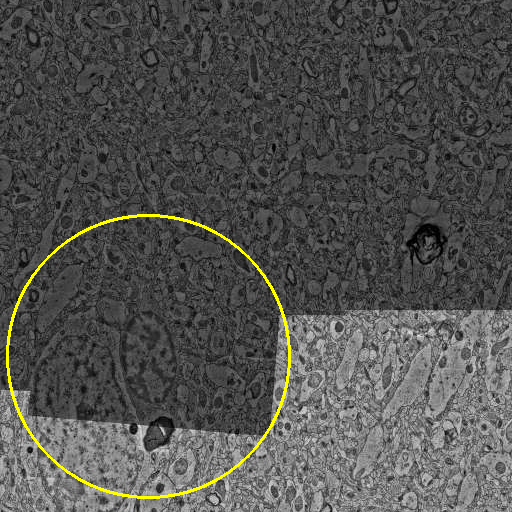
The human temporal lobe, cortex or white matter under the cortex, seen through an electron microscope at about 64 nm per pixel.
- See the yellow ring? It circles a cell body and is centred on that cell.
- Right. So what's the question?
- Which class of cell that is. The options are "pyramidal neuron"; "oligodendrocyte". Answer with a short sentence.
The centre of the ring holds an oligodendrocyte.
